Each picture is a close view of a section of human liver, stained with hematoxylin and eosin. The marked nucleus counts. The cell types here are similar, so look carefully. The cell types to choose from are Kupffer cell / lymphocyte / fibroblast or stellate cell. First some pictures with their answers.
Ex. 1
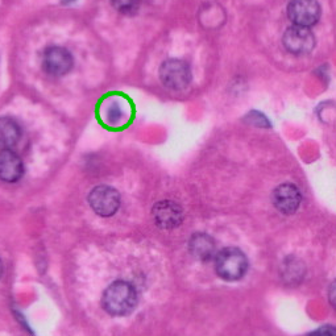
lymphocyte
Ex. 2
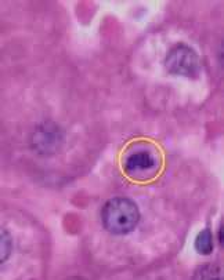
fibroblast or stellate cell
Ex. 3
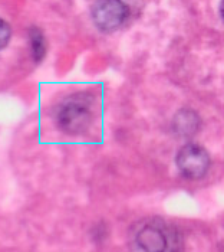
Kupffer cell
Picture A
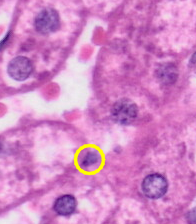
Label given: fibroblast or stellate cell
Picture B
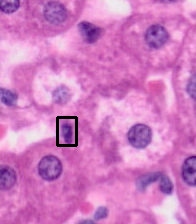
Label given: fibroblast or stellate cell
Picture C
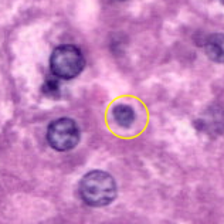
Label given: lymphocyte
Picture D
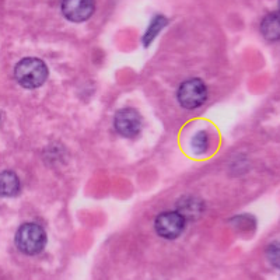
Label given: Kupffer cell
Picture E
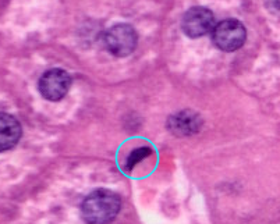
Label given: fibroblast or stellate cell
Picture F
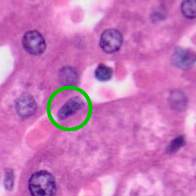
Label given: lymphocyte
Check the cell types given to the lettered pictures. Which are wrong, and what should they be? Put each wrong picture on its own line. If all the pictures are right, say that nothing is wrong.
D: not Kupffer cell but lymphocyte
F: not lymphocyte but fibroblast or stellate cell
